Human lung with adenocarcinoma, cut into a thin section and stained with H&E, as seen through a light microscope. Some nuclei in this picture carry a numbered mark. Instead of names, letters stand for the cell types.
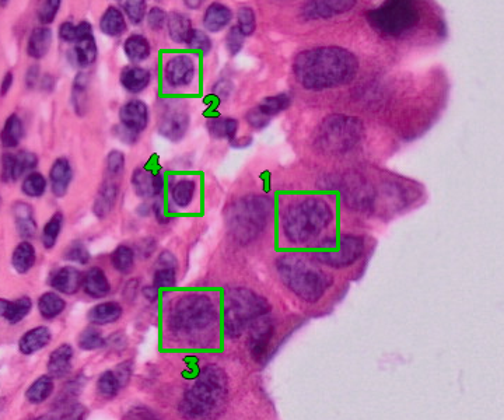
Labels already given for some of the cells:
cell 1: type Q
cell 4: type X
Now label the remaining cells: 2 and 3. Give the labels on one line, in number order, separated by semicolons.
type X; type Q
